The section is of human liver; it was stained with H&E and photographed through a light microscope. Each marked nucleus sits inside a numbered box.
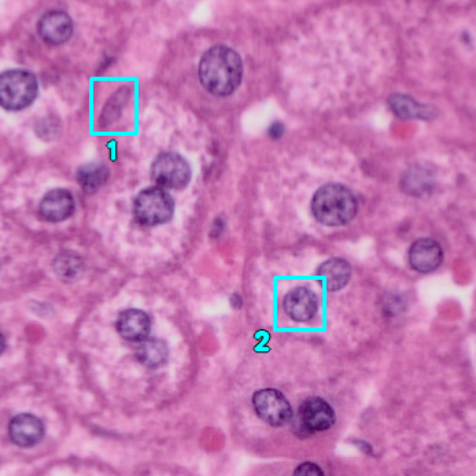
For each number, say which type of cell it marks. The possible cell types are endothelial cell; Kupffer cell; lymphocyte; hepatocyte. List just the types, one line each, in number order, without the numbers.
Kupffer cell
hepatocyte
